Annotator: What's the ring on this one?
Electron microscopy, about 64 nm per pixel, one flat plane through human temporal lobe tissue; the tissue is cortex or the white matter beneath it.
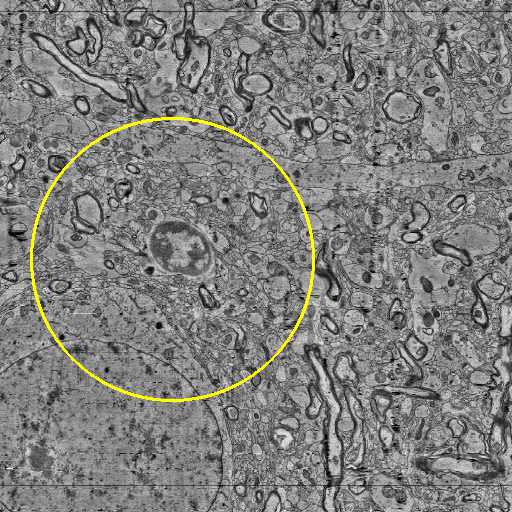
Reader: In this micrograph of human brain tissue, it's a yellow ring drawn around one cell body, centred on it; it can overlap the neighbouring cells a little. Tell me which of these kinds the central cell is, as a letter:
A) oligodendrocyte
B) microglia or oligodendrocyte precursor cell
B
